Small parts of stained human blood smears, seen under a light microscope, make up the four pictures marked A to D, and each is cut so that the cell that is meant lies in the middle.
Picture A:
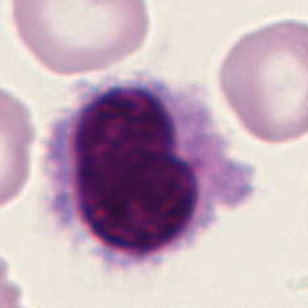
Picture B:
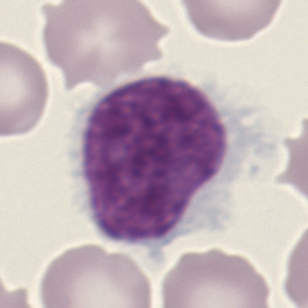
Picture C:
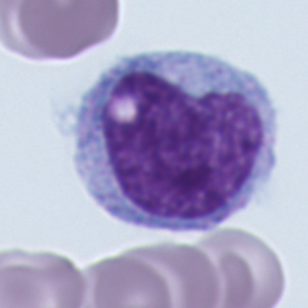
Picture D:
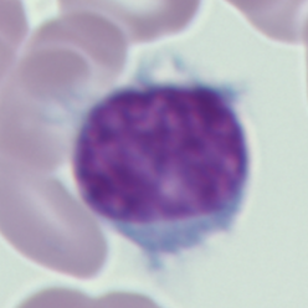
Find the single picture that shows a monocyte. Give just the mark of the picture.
C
